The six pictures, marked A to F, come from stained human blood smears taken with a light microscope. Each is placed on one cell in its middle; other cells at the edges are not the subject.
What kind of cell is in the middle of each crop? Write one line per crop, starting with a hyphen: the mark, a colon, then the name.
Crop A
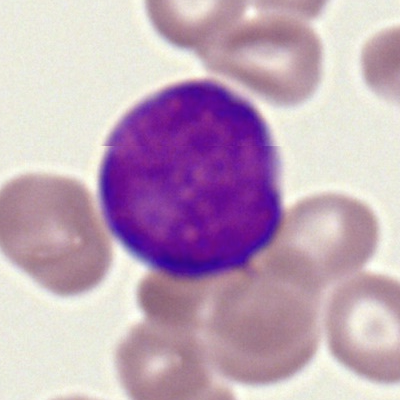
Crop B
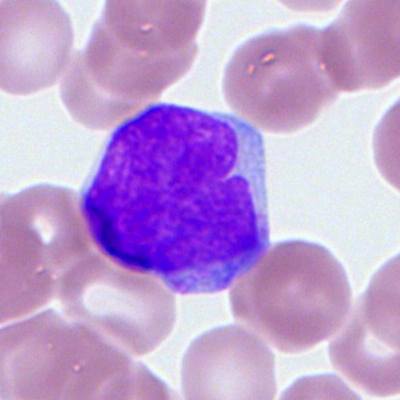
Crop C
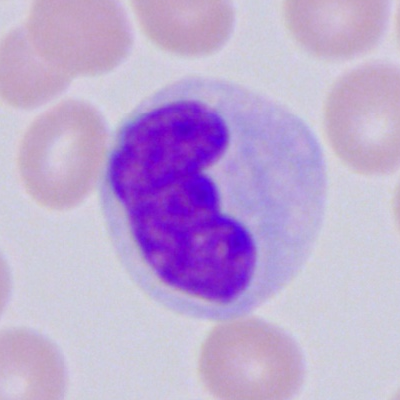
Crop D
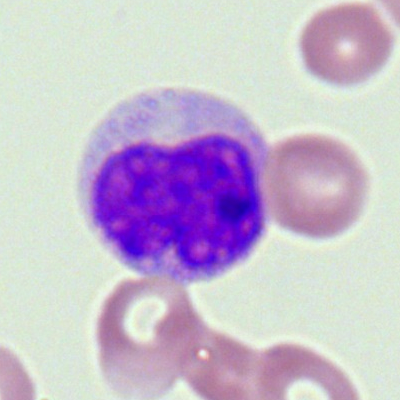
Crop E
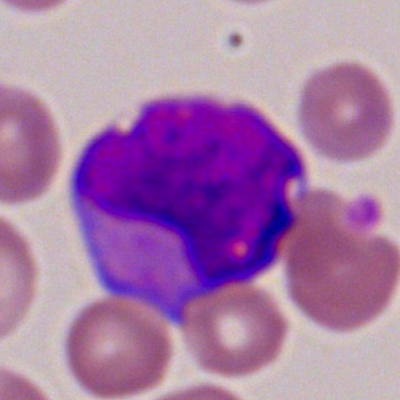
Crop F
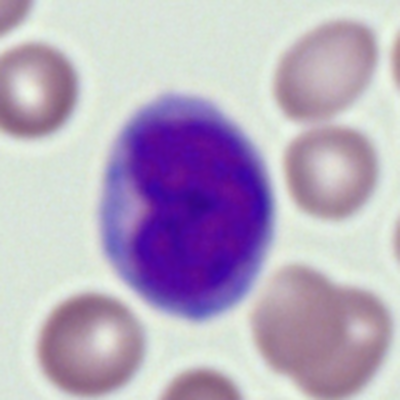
- A: myeloblast
- B: myeloblast
- C: monocyte
- D: monocyte
- E: myeloblast
- F: monocyte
